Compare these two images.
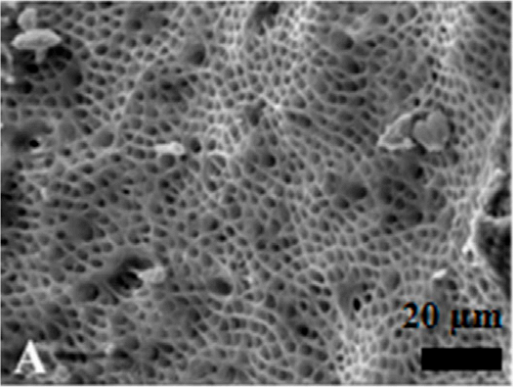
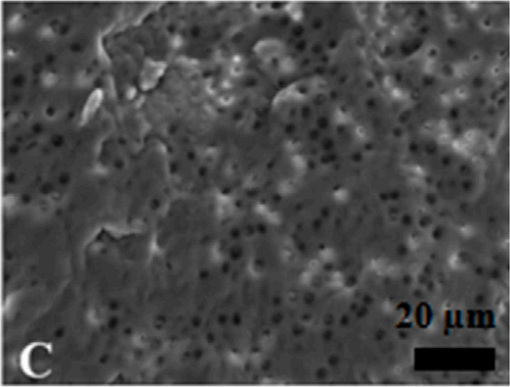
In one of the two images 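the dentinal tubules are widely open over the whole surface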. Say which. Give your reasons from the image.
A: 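The first image. Second image: only small, sparse dark pores in a smeared, irregular surface. First image: a dense honeycomb of wide open round holes with thin walls between them.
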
